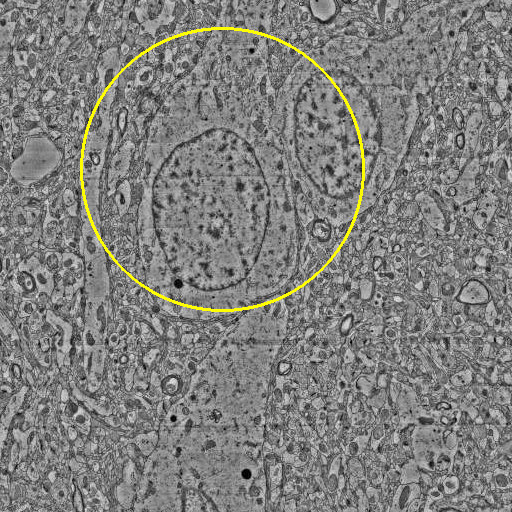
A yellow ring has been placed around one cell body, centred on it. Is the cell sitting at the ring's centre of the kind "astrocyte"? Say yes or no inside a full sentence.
No, the cell at the centre of the yellow ring belongs to a different kind.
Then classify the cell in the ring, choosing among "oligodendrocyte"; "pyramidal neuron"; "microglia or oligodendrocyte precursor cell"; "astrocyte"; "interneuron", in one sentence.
What the ring encloses here is a pyramidal neuron.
